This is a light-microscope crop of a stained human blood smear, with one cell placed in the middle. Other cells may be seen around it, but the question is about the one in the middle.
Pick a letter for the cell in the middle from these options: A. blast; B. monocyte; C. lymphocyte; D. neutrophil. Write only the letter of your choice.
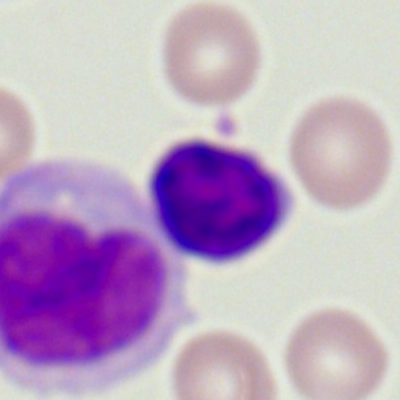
C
